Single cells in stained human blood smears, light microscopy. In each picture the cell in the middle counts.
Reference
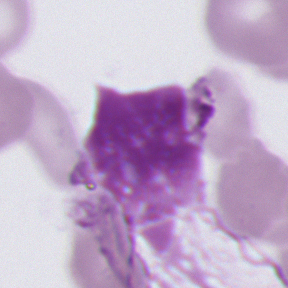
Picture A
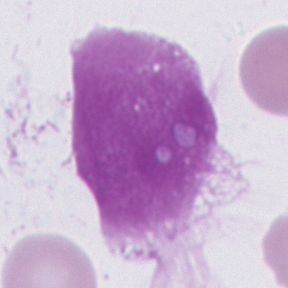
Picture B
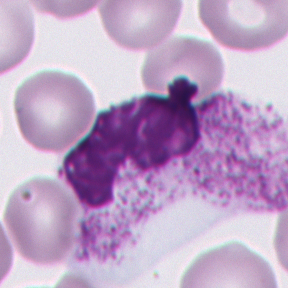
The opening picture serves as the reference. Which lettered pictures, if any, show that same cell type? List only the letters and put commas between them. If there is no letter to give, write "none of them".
A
